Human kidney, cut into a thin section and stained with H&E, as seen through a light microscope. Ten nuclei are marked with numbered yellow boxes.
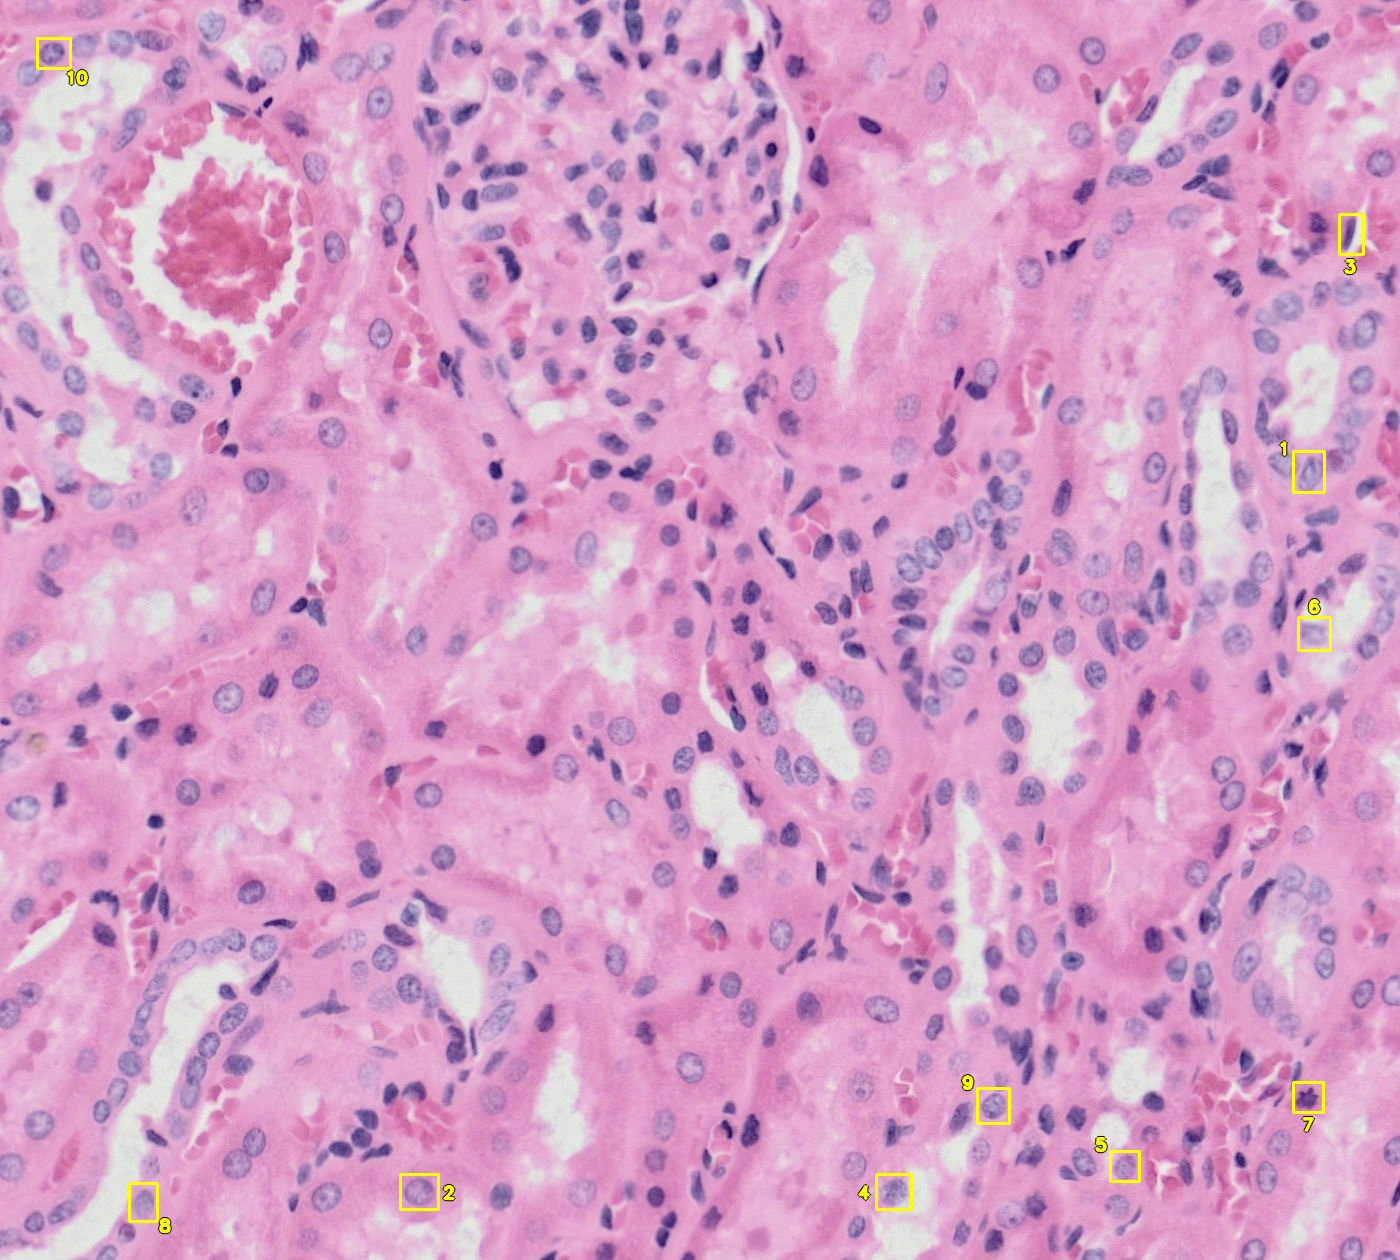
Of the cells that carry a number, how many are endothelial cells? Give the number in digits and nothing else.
1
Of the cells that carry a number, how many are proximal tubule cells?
2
